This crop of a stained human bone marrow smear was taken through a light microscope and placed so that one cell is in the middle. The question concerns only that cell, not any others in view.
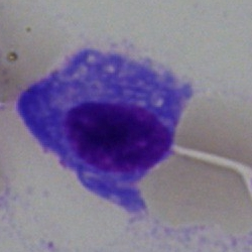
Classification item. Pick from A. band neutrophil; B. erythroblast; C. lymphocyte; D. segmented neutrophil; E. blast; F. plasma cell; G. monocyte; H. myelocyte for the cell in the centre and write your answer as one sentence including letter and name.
Option F is the right one, for the cell in the middle is a plasma cell.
